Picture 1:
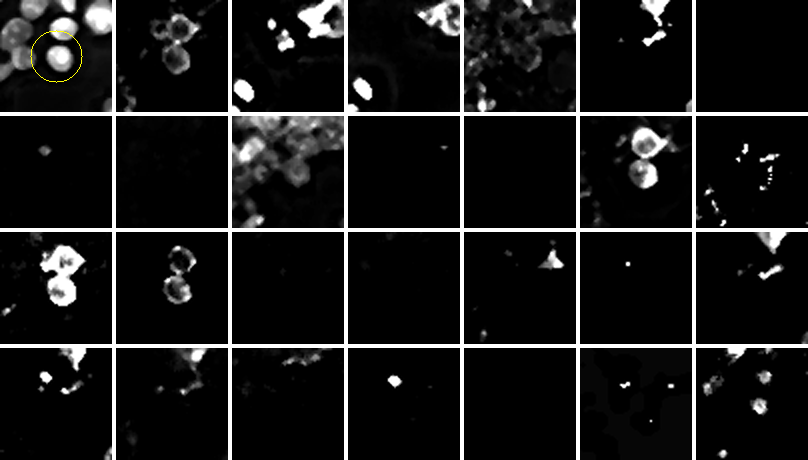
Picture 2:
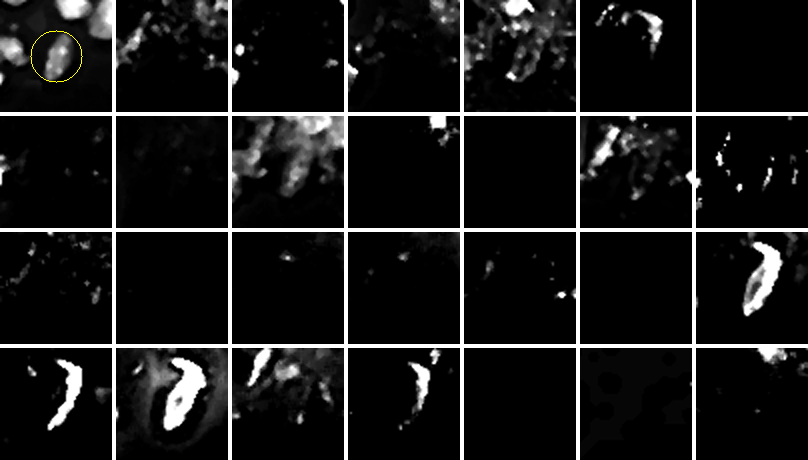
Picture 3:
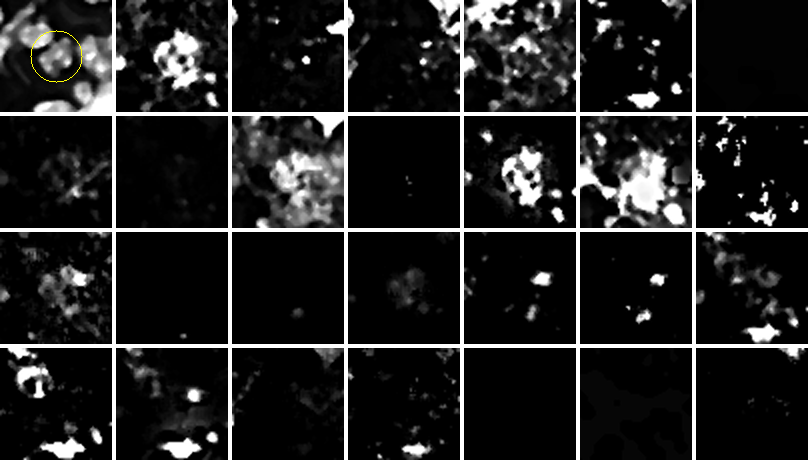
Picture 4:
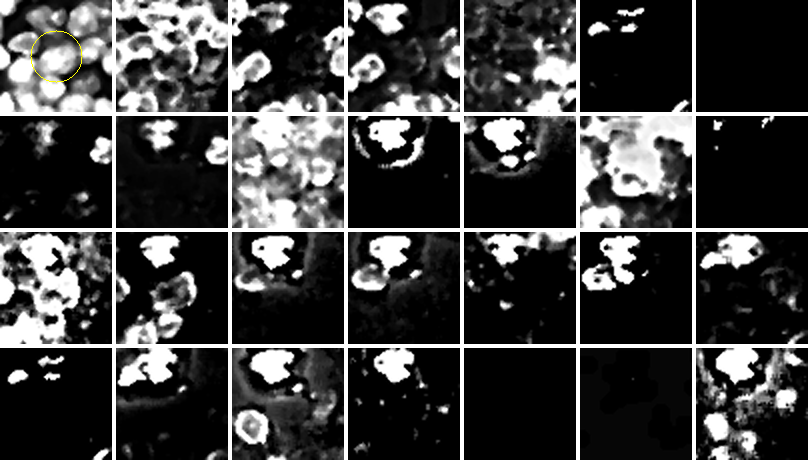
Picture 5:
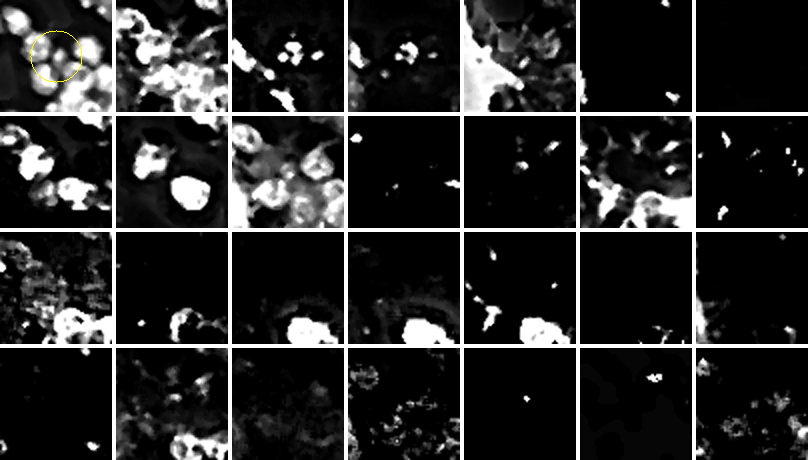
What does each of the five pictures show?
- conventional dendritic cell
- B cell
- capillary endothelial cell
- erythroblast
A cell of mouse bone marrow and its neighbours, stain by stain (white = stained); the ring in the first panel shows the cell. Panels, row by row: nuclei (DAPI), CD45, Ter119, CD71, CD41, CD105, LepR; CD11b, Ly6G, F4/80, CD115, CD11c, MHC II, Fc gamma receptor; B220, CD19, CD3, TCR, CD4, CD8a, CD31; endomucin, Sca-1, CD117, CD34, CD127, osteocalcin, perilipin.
1. B cell
2. capillary endothelial cell
3. conventional dendritic cell
4. B cell
5. erythroblast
